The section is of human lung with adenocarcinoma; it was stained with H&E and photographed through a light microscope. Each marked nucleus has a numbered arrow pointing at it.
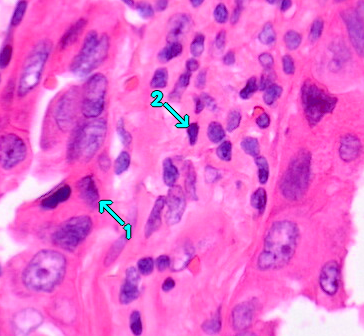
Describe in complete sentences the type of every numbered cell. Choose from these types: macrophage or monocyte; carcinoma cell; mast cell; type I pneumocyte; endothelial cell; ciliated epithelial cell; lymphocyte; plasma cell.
Cell 1 is a carcinoma cell. Cell 2 is a lymphocyte.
